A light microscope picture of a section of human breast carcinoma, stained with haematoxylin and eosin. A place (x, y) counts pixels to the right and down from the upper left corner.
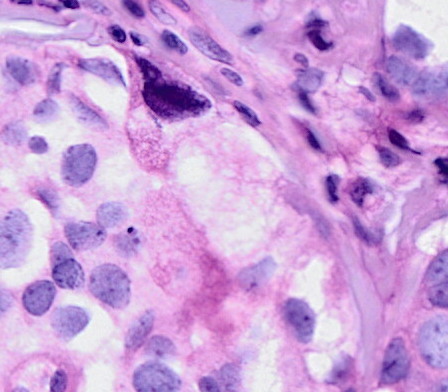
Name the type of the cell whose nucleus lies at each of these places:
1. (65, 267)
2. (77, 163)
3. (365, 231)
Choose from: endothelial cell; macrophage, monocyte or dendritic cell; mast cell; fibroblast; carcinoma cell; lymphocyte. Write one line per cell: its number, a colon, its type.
1: carcinoma cell
2: carcinoma cell
3: fibroblast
